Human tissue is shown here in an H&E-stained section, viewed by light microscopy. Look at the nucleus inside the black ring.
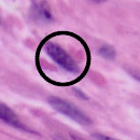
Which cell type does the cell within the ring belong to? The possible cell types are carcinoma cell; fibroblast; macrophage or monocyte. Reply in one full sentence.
Speaking plainly, the cell within the ring is nothing other than a fibroblast.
